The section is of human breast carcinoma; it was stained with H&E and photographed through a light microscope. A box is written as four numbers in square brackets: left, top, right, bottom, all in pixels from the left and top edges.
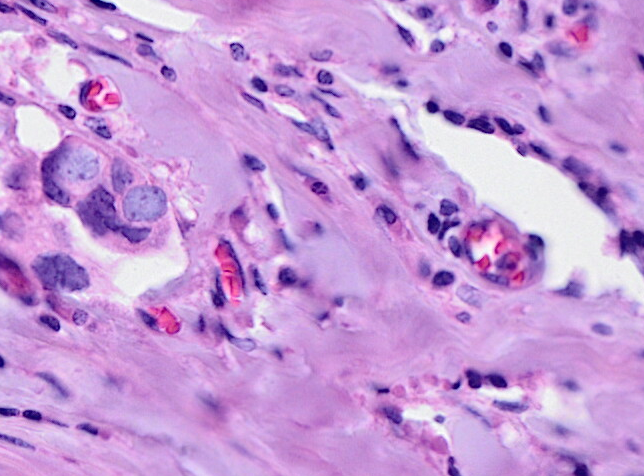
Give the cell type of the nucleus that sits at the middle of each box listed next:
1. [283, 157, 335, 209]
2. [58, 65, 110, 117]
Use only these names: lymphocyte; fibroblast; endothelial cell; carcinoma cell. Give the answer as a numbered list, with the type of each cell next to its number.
1. fibroblast
2. endothelial cell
